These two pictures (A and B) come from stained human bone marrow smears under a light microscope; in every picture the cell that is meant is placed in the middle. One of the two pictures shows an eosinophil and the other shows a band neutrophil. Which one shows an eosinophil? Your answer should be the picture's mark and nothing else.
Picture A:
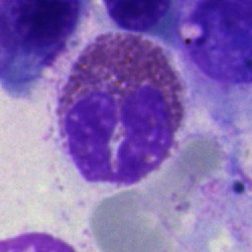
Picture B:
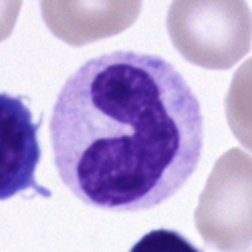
A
